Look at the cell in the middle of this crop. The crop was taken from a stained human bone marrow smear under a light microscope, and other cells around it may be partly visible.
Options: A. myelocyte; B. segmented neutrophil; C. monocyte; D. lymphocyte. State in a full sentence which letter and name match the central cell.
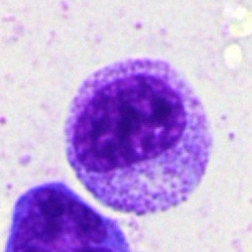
The cell right in the middle is a myelocyte, so option A is the one.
